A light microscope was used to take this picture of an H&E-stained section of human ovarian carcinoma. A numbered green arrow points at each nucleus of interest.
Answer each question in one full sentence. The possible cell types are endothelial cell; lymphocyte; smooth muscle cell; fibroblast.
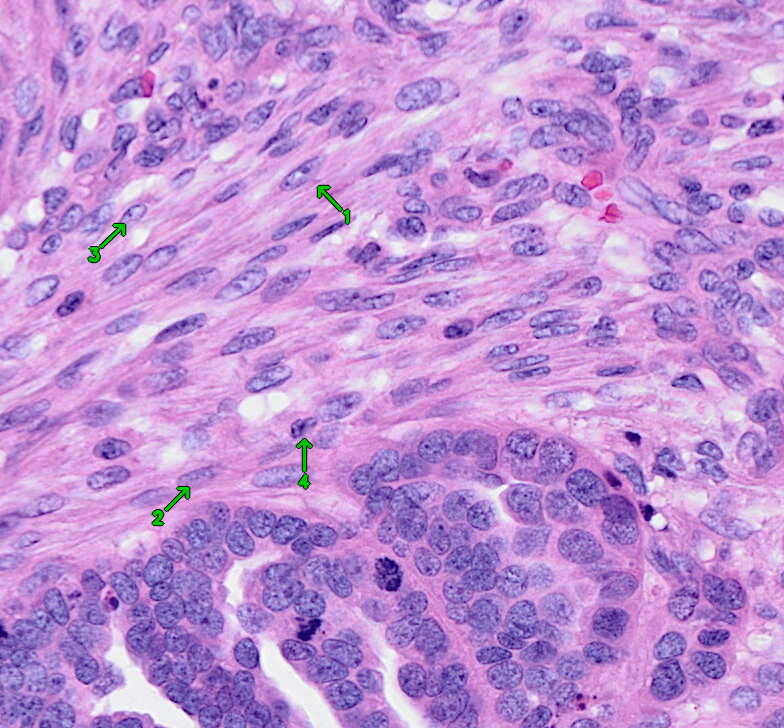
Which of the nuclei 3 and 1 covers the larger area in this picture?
Number 1 is larger; its area is about 2 times that of number 3.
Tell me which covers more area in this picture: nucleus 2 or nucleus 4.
At about 1.5 times the area of nucleus 4, nucleus 2 is the larger of the two.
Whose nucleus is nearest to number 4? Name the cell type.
The cell nearest to number 4 is a fibroblast.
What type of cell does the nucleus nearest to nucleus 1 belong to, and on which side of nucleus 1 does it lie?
Lying above and to the left of nucleus 1, the nearest nucleus is that of a fibroblast.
